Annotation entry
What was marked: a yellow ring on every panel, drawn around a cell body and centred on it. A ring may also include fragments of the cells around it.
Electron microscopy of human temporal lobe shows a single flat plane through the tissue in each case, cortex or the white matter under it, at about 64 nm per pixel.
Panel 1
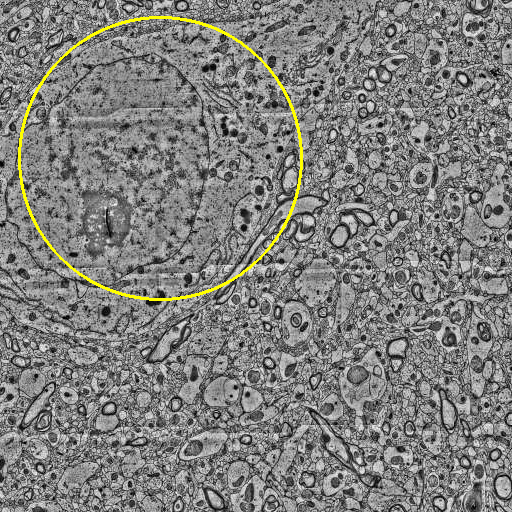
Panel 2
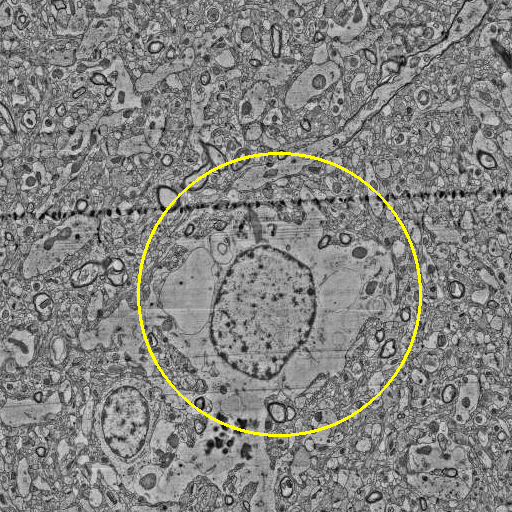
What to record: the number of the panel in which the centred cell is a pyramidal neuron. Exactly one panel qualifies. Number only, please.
1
